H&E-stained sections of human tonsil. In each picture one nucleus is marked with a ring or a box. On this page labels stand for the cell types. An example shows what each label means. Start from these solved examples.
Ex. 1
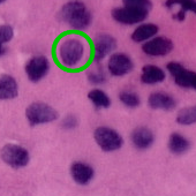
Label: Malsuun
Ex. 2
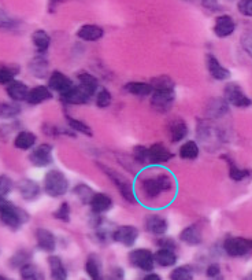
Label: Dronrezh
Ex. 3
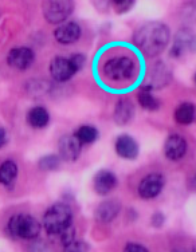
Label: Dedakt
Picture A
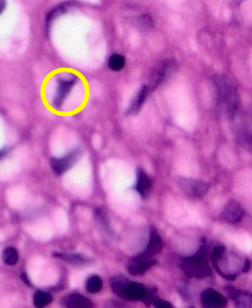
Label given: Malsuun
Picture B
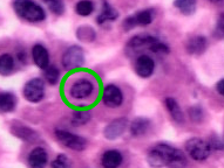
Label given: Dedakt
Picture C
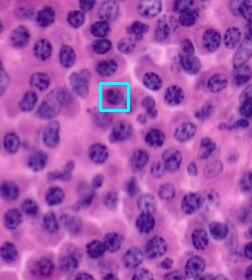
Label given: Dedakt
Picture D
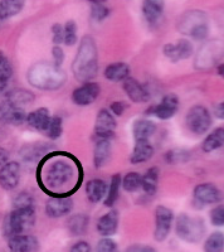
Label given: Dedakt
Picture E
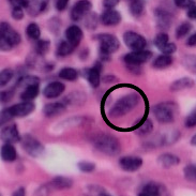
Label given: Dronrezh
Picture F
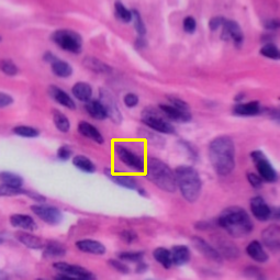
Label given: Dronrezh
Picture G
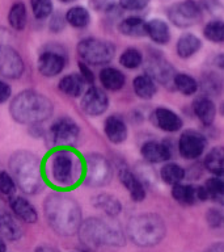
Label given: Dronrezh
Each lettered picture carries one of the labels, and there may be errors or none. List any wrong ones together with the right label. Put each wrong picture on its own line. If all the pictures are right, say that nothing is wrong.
Nothing to fix; every label fits.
